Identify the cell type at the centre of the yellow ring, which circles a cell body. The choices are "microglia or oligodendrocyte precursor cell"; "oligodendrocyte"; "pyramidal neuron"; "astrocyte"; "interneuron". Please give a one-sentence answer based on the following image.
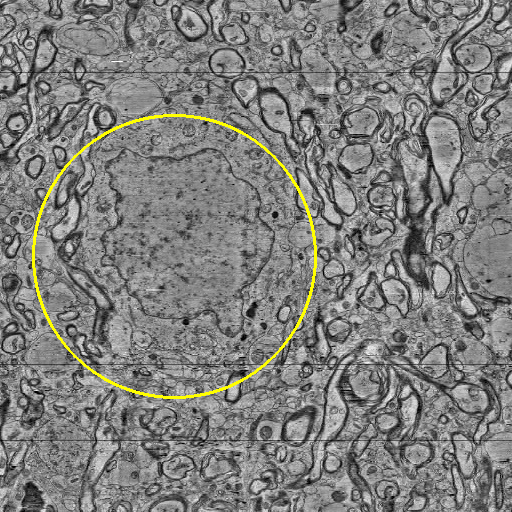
The cell marked by the ring is a pyramidal neuron.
